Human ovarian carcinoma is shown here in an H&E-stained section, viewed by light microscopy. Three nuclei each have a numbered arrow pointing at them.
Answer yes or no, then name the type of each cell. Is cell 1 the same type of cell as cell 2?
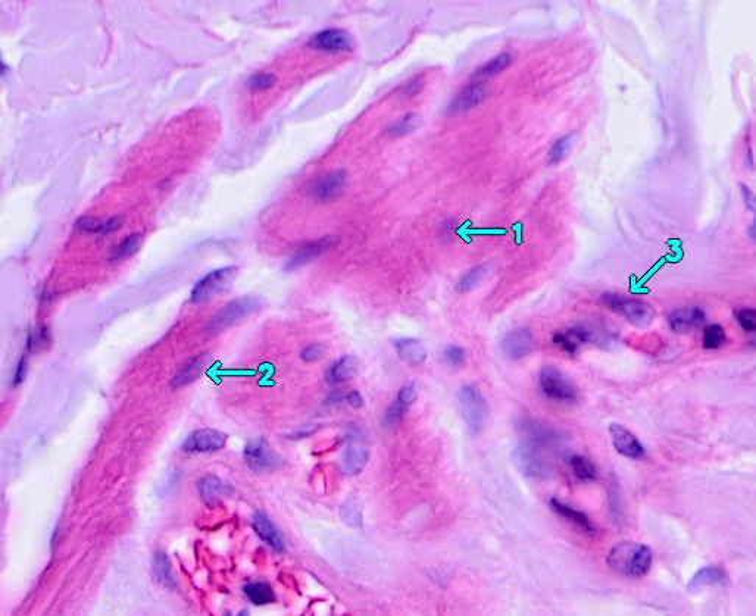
Yes, the cell labelled 1 and the cell labelled 2 are both smooth muscle cells.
